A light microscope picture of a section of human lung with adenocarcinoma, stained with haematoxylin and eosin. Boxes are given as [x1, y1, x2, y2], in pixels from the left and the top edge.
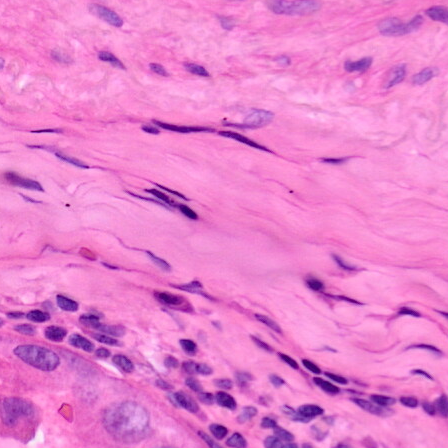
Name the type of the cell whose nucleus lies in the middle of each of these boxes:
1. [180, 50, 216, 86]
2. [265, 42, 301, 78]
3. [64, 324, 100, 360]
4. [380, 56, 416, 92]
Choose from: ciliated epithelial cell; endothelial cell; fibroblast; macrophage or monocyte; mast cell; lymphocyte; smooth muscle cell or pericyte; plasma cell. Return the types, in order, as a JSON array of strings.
["smooth muscle cell or pericyte", "smooth muscle cell or pericyte", "lymphocyte", "smooth muscle cell or pericyte"]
